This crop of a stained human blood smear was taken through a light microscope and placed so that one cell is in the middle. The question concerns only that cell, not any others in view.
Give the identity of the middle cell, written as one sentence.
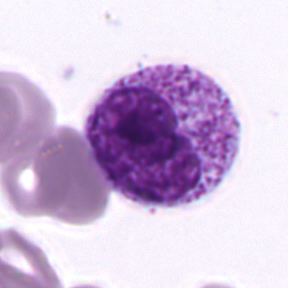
This particular crop is centered on a metamyelocyte.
